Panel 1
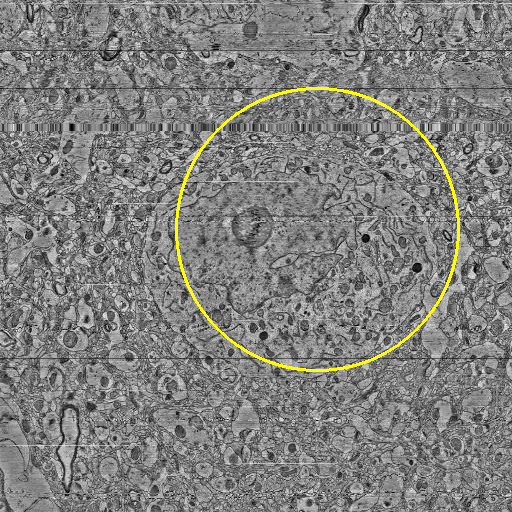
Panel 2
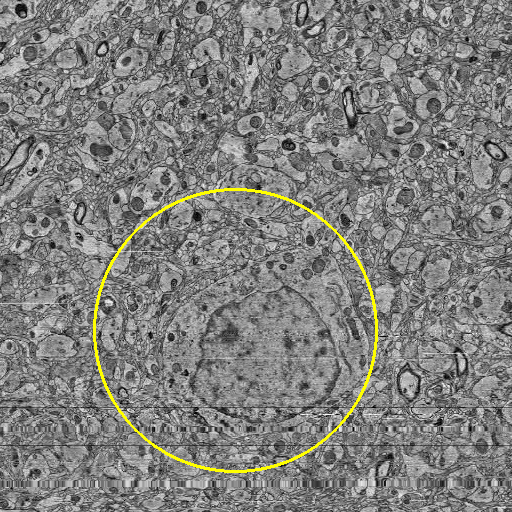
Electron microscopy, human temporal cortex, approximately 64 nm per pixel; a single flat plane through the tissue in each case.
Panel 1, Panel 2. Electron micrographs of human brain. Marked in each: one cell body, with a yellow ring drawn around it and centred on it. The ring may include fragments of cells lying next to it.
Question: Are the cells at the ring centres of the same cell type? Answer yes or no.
yes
